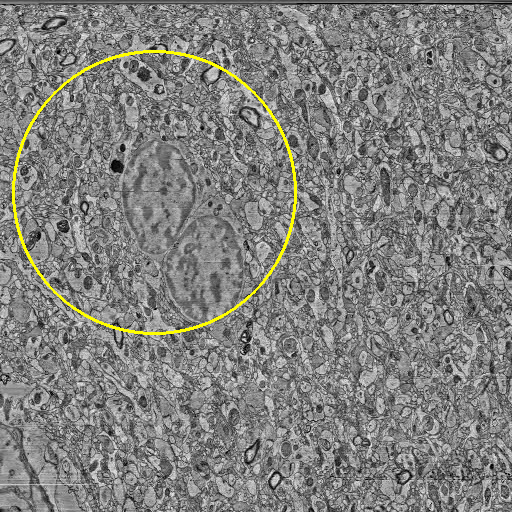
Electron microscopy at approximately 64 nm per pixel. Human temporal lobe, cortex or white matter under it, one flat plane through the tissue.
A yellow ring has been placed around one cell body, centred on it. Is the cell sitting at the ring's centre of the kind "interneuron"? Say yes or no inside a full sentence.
No, the cell at the centre of the yellow ring belongs to a different kind.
